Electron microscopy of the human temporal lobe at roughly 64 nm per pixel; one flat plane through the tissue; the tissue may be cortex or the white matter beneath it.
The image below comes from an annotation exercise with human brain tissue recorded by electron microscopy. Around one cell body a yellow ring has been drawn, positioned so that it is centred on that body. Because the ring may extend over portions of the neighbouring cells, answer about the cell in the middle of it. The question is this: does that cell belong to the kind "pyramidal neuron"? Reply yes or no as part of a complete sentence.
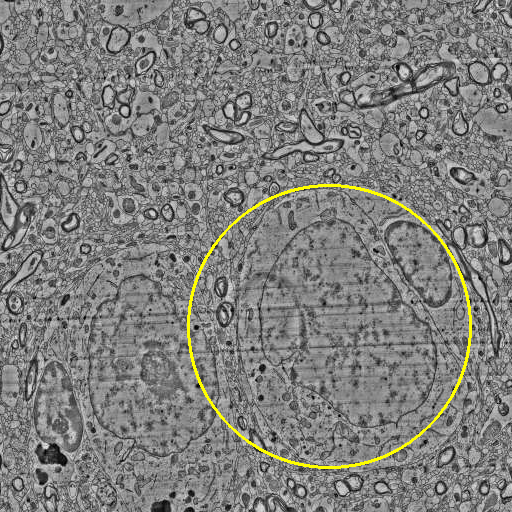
Yes, in the image the cell in the middle of the ring is of the kind asked about.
